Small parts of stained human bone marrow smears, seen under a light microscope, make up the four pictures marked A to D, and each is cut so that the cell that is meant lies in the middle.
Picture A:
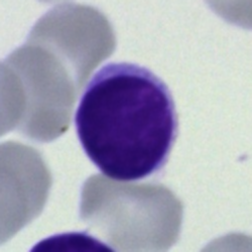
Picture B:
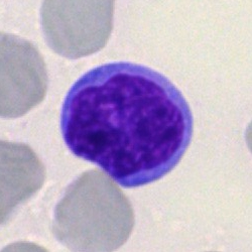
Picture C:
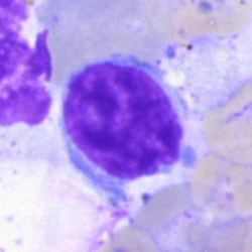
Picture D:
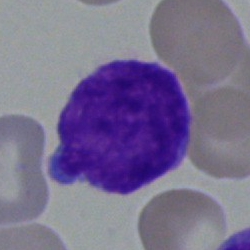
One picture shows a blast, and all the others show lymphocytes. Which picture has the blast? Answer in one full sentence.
It is picture D that shows the blast.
